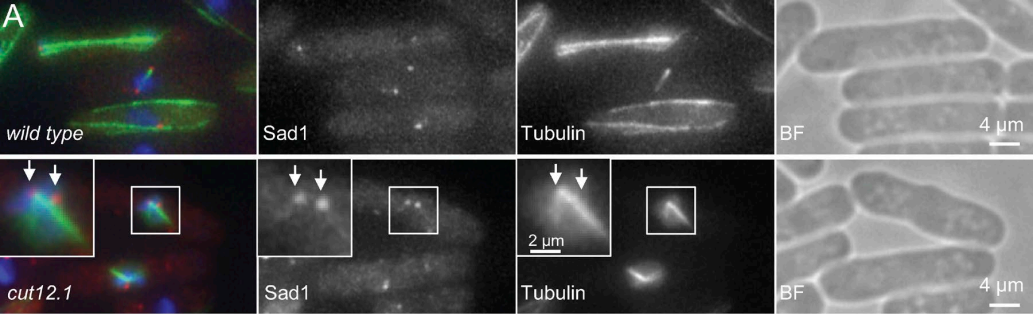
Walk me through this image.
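These are rod-shaped yeast cells seen in merged colour, single-channel greyscale and brightfield views. In the lower row the green microtubules instead form a short, fan-like bundle that splays out from one end, and the two red dots sit close together at that narrow end, as the enlarged inset shows. The brightfield views show the cells' outlines, rounded tips and grainy cytoplasm.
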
